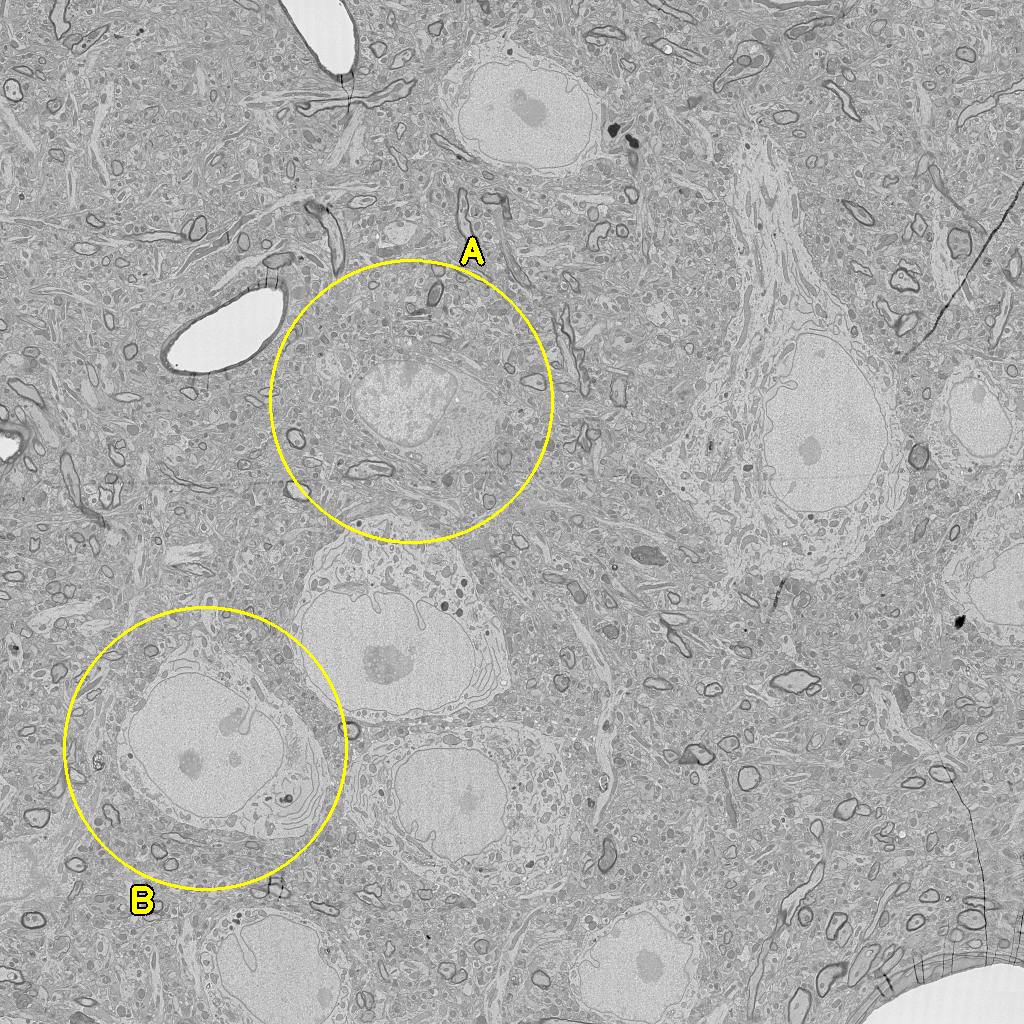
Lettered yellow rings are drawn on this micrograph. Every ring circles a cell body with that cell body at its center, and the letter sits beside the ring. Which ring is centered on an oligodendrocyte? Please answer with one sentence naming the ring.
Ring A has it at its center.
